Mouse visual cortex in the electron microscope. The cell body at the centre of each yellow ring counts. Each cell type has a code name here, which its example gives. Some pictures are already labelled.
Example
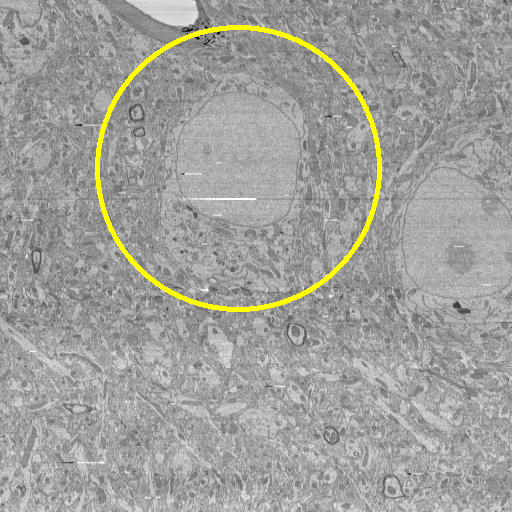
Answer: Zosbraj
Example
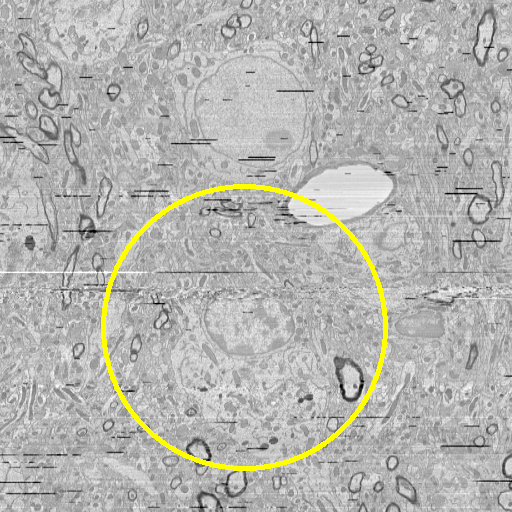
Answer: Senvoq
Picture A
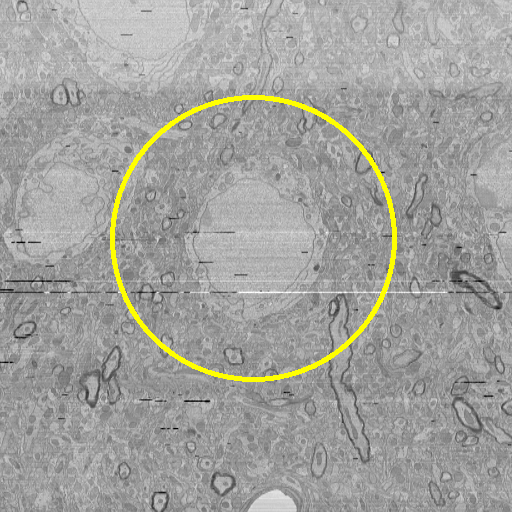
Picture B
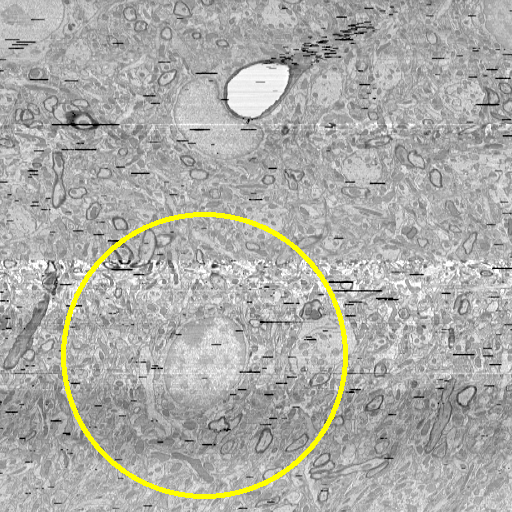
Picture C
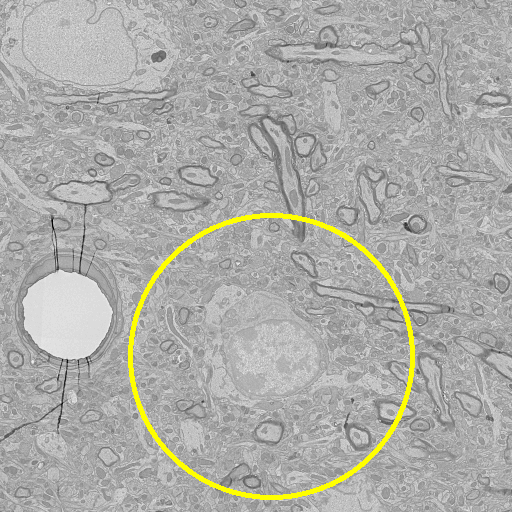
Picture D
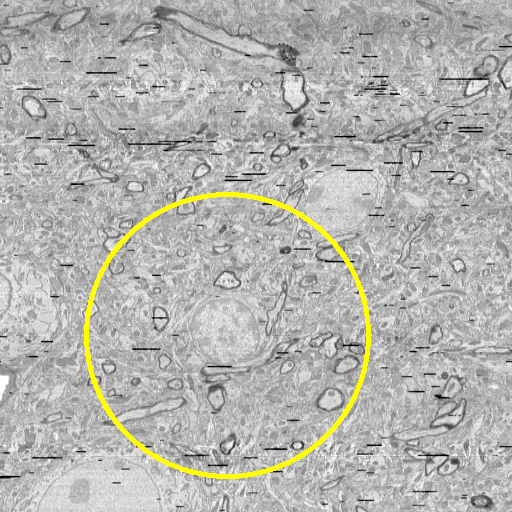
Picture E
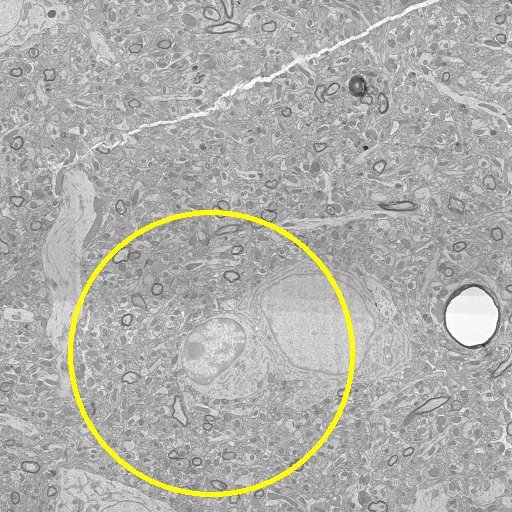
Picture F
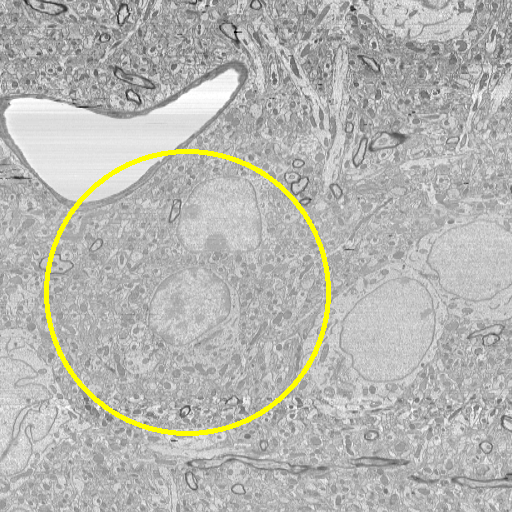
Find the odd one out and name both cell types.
Picture A: Zosbraj. All others: Senvoq.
